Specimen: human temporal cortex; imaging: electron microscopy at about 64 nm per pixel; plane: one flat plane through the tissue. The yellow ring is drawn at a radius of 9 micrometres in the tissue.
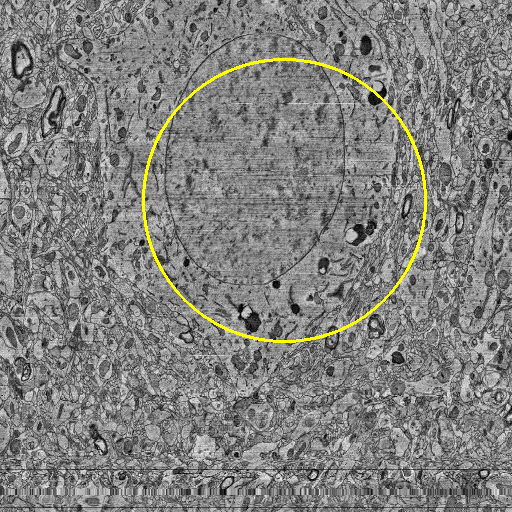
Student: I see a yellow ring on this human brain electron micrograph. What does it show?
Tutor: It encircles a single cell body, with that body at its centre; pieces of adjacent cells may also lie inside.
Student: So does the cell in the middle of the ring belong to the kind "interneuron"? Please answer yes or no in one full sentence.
No, that cell at the centre of the ring is one of another kind.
